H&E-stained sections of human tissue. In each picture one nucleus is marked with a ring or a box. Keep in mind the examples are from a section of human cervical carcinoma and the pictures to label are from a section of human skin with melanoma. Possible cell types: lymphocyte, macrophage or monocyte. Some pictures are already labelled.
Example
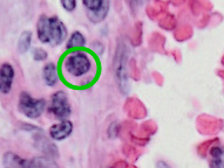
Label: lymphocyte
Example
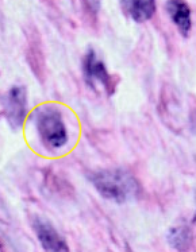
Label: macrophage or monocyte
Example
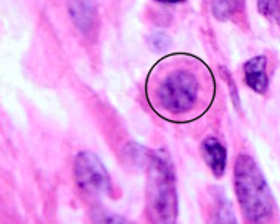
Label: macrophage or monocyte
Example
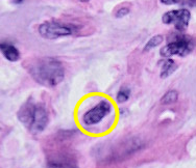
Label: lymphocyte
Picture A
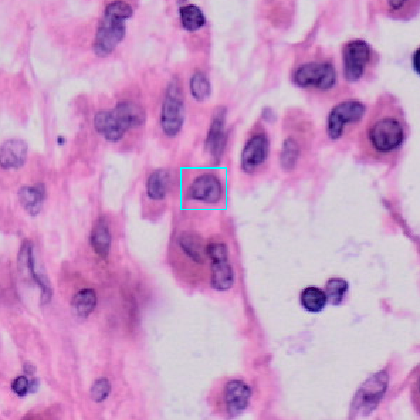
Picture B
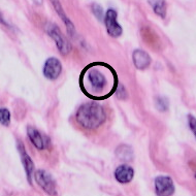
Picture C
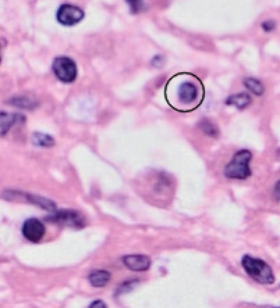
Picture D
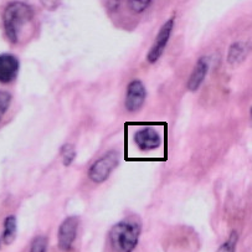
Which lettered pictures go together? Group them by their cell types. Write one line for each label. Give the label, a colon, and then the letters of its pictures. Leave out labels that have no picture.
lymphocyte: B, C, D
macrophage or monocyte: A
